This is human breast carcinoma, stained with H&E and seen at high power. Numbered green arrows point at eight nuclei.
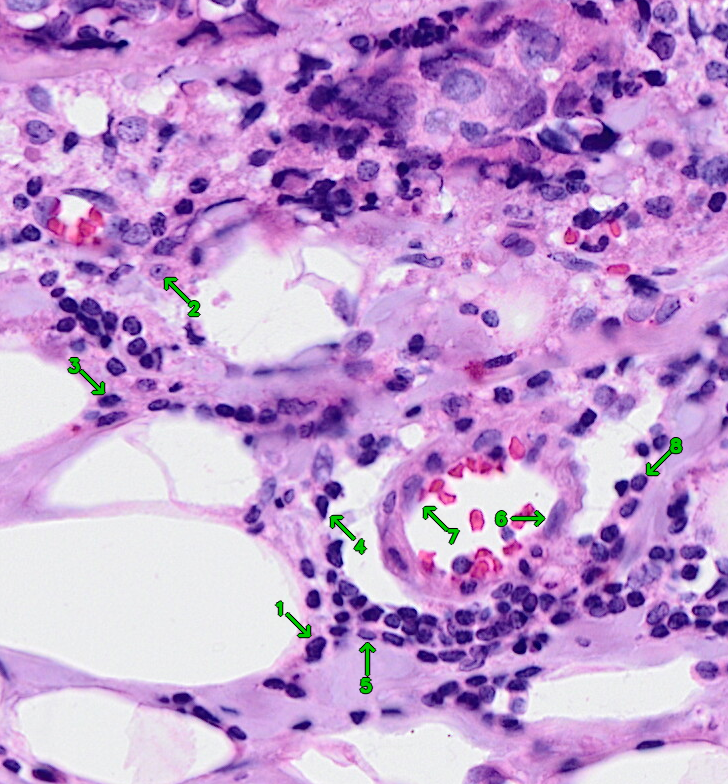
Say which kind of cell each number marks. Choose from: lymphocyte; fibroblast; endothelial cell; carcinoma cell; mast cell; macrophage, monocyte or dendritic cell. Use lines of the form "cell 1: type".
cell 1: lymphocyte
cell 2: mast cell
cell 3: lymphocyte
cell 4: lymphocyte
cell 5: lymphocyte
cell 6: endothelial cell
cell 7: endothelial cell
cell 8: lymphocyte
